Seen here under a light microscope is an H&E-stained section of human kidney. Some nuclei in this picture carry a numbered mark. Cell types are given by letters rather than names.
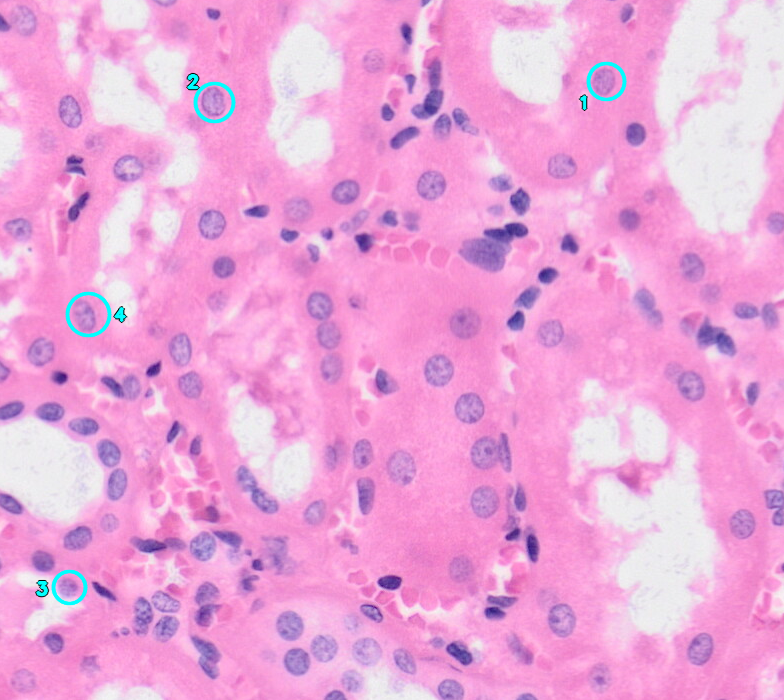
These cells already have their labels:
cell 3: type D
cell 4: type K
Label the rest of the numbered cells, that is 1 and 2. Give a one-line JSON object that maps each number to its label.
{"1": "type K", "2": "type K"}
